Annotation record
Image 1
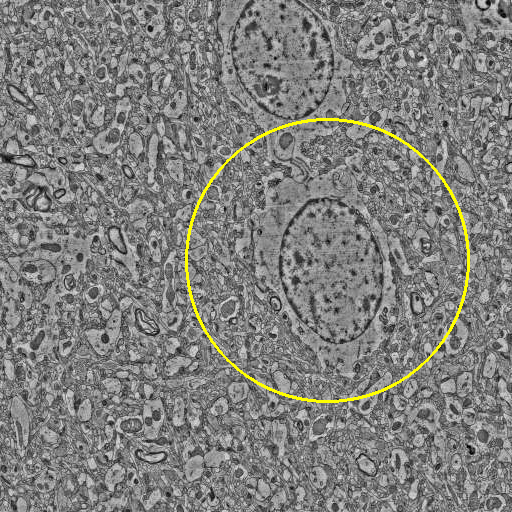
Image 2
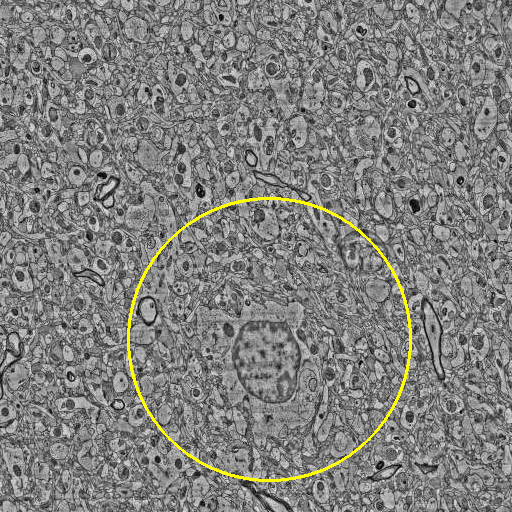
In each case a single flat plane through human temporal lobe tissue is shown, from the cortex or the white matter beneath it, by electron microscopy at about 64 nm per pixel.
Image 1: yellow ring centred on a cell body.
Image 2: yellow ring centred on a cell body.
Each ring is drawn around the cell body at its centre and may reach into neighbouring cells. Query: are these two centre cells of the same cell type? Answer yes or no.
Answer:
yes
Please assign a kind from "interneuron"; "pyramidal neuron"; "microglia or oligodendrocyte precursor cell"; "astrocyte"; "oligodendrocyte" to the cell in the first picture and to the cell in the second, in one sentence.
Each of the two pictures has an astrocyte at the ring centre.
